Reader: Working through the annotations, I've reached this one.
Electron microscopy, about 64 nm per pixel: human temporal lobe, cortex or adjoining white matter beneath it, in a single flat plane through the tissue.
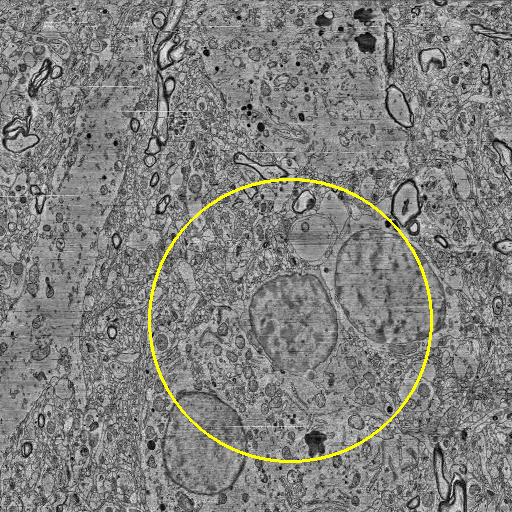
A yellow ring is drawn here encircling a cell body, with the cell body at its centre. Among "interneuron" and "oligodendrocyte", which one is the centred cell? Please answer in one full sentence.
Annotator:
The cell body at the centre of the yellow ring in this image belongs to an oligodendrocyte.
